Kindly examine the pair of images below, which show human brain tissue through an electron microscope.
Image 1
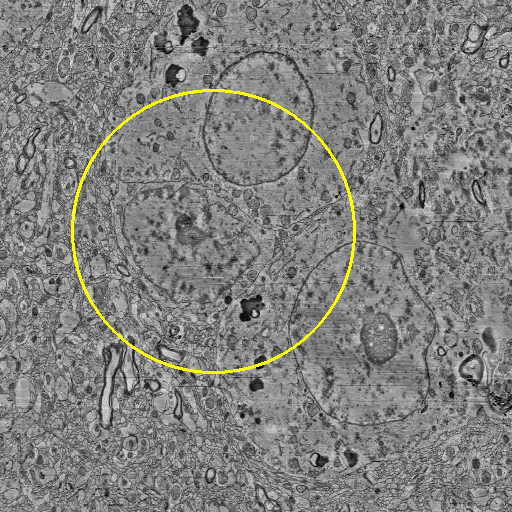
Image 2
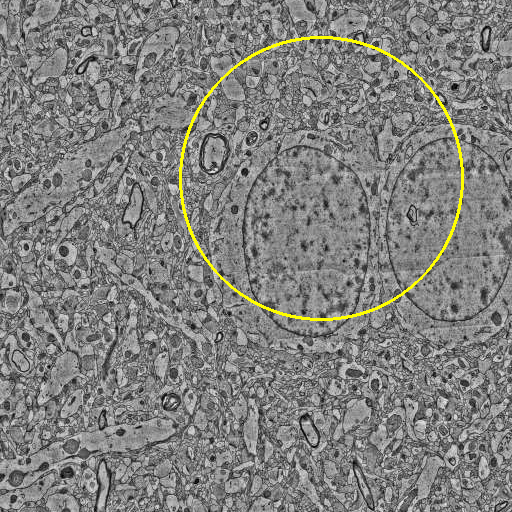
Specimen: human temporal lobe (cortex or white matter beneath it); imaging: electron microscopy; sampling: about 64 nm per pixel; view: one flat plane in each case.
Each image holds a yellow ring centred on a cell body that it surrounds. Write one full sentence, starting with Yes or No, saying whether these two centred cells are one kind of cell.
No, the cells at the centres of the yellow rings belong to two kinds of cell.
